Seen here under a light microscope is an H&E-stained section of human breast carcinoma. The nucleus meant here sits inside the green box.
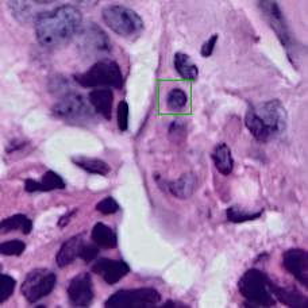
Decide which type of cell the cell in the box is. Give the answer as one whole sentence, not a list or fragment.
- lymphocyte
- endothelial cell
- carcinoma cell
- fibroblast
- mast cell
Labelled by cell type, the cell in the box is a mast cell.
